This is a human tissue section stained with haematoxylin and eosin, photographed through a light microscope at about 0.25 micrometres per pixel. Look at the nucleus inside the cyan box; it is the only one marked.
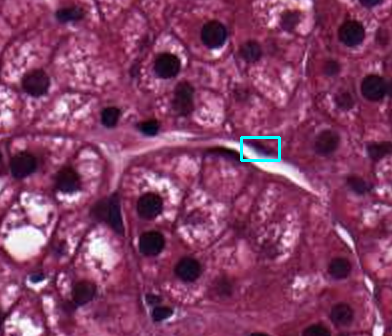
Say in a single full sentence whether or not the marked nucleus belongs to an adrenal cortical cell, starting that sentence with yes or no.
No, it is not an adrenal cortical cell that owns the marked nucleus but a supporting cell.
